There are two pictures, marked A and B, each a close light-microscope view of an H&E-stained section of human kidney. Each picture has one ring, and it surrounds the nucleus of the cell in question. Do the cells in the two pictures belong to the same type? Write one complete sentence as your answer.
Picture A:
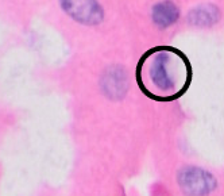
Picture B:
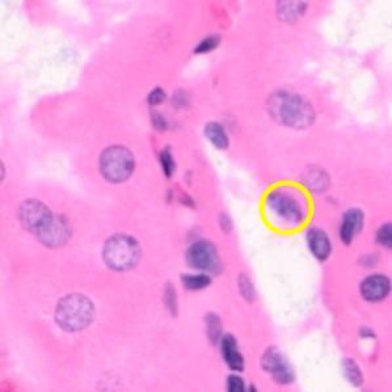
Yes, they are the same type: both are “loop of Henle or distal tubule cells”.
